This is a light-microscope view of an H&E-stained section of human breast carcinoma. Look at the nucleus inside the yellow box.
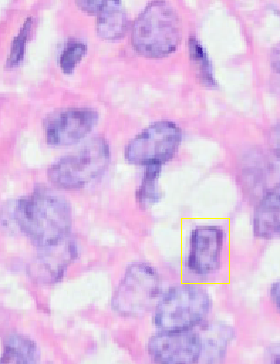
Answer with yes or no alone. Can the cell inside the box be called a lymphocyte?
no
